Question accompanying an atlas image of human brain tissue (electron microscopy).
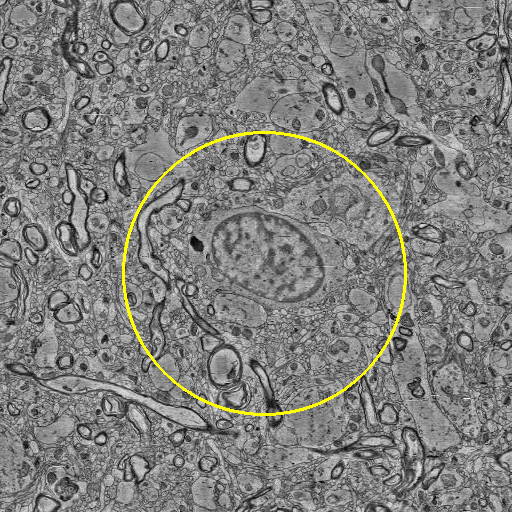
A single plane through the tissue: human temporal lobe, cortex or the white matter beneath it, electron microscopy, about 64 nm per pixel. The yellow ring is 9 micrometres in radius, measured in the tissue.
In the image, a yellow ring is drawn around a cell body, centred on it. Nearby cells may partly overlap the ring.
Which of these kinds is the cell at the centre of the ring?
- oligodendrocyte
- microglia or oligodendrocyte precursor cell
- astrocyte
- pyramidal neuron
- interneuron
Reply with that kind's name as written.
oligodendrocyte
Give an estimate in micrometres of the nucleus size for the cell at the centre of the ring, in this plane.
The ringed cell's nucleus is about 8 micrometres long and 5 micrometres wide in this plane.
